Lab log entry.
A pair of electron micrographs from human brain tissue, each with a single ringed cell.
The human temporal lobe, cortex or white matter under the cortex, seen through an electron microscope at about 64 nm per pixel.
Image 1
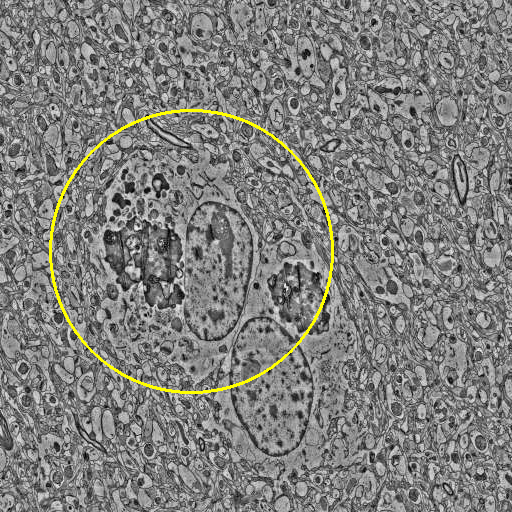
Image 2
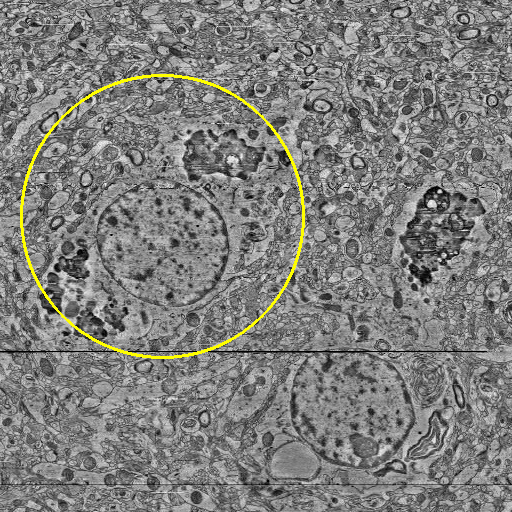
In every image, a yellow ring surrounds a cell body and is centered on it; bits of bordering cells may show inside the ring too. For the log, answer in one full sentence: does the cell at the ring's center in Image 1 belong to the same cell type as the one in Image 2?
Yes, the cells at the ring centers in Image 1 and Image 2 share one type.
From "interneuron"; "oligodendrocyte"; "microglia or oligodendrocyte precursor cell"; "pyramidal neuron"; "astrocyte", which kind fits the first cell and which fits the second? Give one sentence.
In each of the two pictures, the ringed cell is an astrocyte.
